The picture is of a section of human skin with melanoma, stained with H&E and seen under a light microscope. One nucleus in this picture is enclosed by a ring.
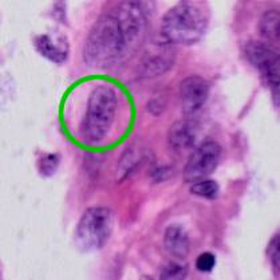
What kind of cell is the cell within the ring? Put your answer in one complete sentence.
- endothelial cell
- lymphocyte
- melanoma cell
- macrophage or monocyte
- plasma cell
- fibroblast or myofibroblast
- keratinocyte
As to its cell type, the cell within the ring is a melanoma cell.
